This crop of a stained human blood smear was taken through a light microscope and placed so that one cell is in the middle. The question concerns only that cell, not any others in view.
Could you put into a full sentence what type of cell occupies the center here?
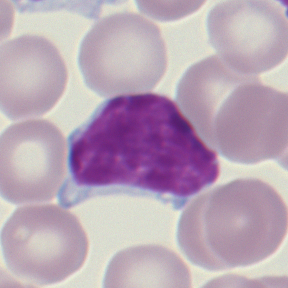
The cell at the middle of the frame should be recorded as a typical lymphocyte.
